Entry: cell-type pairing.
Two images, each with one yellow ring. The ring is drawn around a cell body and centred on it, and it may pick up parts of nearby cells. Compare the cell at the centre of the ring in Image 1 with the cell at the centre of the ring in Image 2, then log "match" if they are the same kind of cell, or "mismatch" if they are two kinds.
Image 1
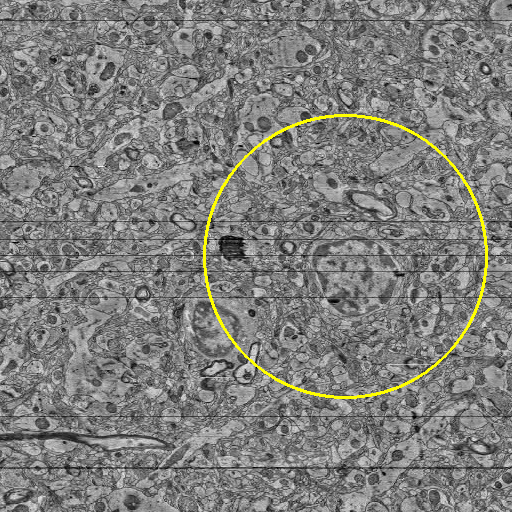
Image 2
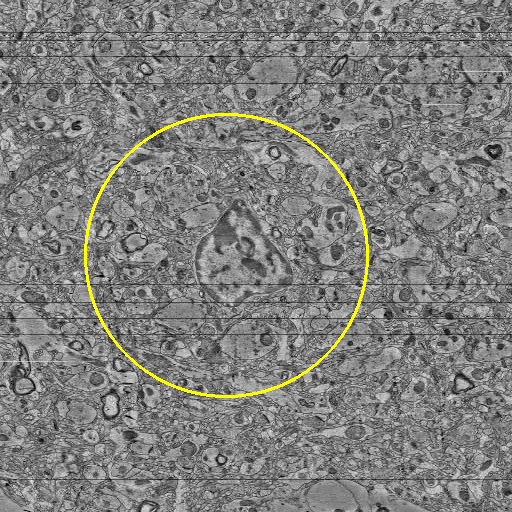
match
